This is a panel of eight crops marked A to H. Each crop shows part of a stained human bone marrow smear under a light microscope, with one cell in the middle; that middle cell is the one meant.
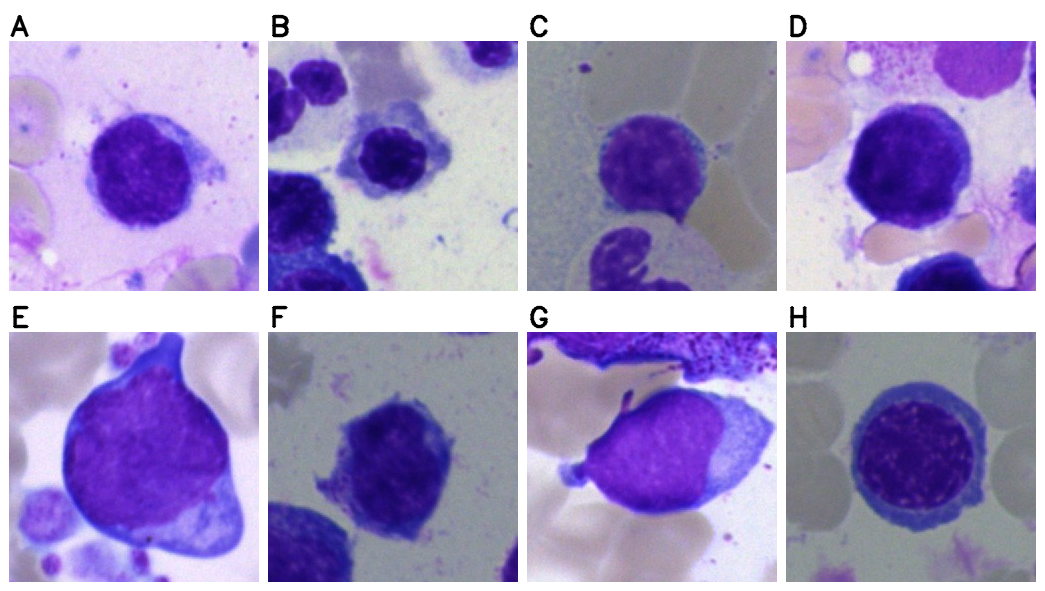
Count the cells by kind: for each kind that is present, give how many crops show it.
blast: 4
lymphocyte: 2
erythroblast: 2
